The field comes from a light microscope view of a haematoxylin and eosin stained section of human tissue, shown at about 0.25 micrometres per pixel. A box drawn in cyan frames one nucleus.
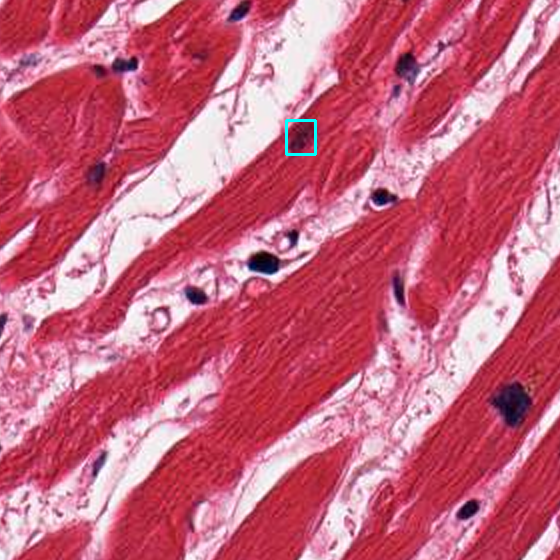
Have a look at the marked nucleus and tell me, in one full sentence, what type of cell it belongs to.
As shown, the marked nucleus belongs to a cardiomyocyte.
